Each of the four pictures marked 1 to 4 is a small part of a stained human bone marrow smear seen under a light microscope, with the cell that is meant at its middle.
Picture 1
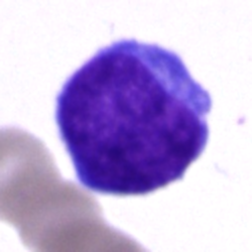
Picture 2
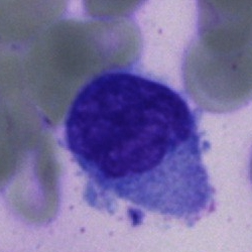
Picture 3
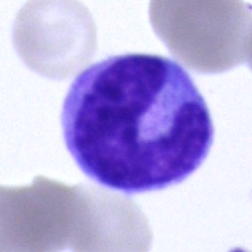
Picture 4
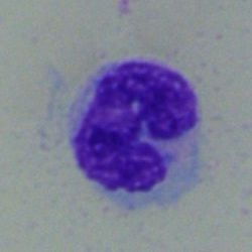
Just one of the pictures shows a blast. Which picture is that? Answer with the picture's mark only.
1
